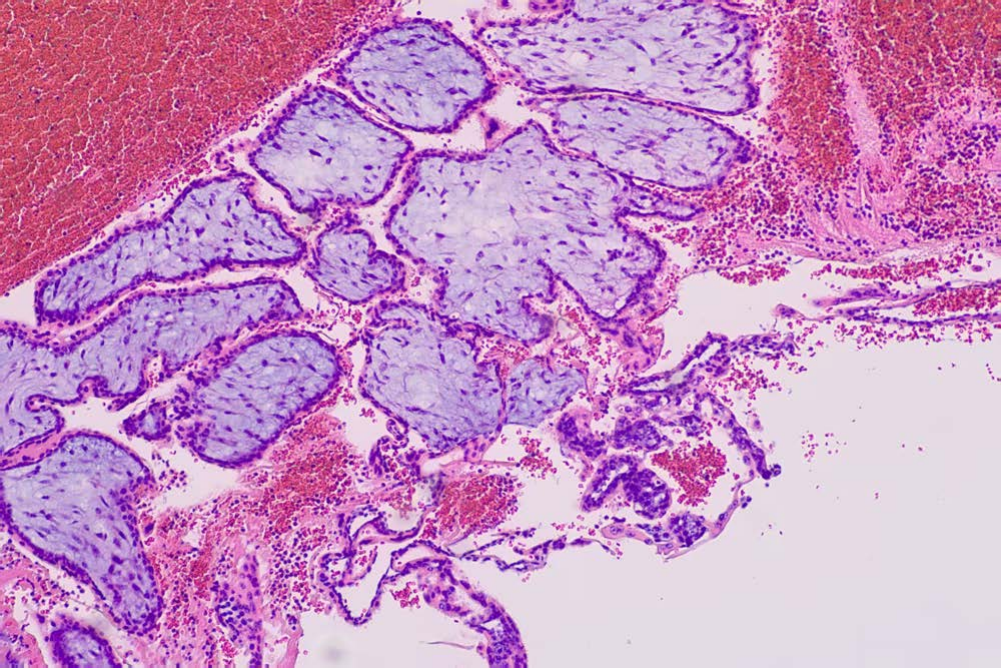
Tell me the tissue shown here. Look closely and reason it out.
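Rounded to elongated, branching pale bluish-purple fragments of loose stroma. Each fragment is rimmed by a thin layer of darkly stained epithelial cells. The fragments lie among masses of red blood cells. The answer: chorionic villi.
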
